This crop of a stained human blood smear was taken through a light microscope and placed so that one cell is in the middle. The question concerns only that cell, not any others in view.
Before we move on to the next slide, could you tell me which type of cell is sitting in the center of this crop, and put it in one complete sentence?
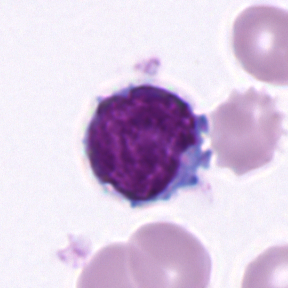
Centrally within this crop lies a plasma cell.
